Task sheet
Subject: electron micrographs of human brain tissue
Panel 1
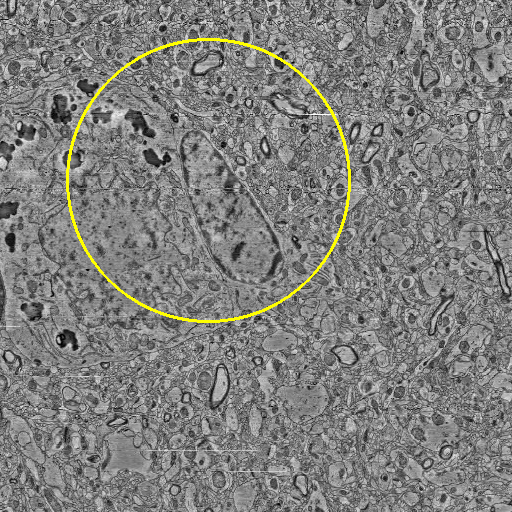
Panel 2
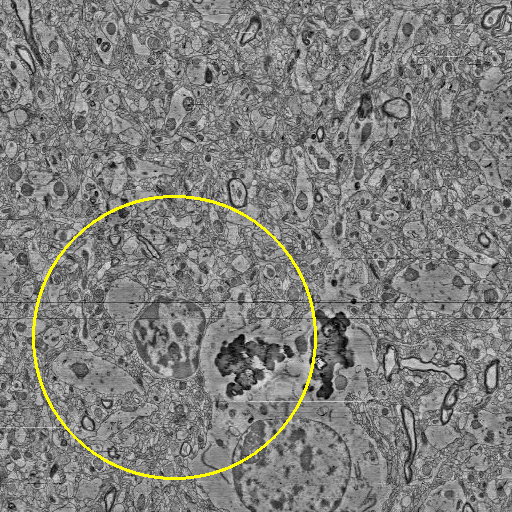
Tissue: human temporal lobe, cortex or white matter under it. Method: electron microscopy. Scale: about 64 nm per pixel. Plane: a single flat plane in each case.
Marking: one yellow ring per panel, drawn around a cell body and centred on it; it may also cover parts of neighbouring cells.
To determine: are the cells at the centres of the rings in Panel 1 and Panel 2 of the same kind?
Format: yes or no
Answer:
yes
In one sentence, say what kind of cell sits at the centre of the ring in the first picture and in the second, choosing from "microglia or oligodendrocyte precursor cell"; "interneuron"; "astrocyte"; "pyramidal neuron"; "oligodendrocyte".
In each picture the ringed cell is a microglial cell or oligodendrocyte precursor cell.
